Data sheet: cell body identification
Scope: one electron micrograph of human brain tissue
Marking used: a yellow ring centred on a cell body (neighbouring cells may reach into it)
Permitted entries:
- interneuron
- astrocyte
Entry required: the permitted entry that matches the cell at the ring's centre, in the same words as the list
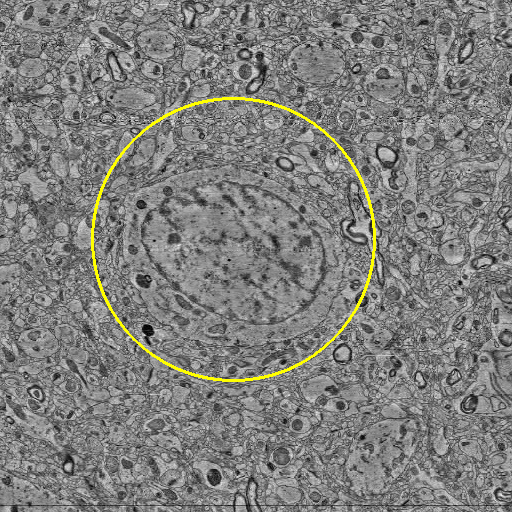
interneuron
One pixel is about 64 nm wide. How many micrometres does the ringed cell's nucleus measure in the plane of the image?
The nucleus appears roughly 12 by 9 micrometres in this plane.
